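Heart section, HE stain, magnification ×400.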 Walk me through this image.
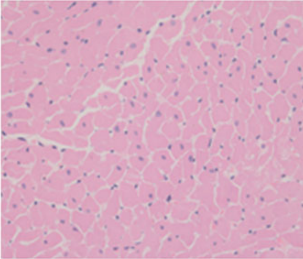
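The cells are polygonal to rounded profiles of fairly even size, packed closely together in a mosaic. Thin pale clefts separate the cells, and small flattened nuclei in these spaces belong to interstitial cells and capillaries. A larger pale gap crosses the upper left of the field.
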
